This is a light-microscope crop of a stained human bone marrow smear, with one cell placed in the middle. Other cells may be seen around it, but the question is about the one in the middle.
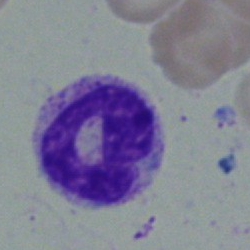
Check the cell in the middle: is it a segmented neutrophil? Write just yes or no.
no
